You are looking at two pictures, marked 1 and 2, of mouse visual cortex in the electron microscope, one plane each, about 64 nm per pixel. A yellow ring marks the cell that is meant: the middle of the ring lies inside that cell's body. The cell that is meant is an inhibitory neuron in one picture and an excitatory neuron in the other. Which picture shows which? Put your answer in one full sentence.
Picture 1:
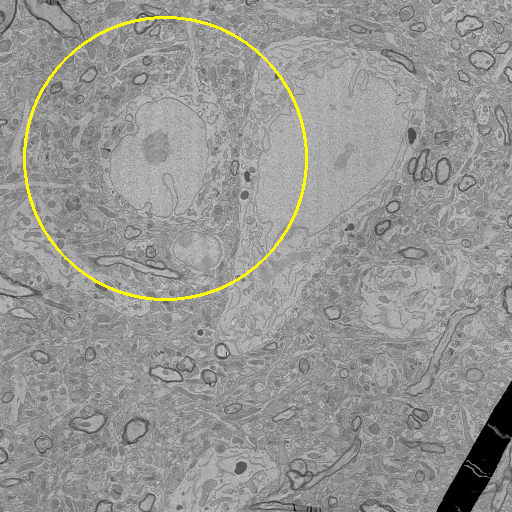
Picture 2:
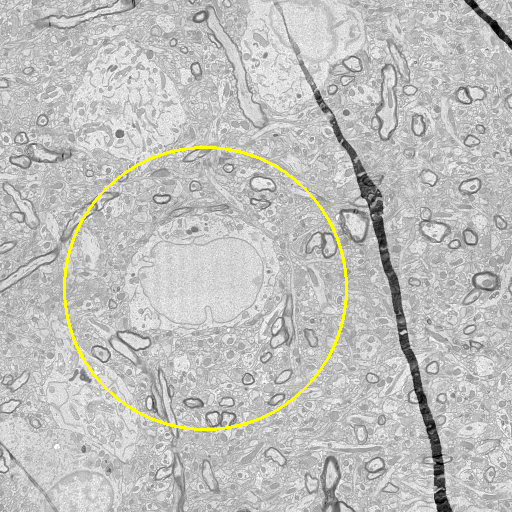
Picture 1 is of an inhibitory neuron, and picture 2 is of an excitatory neuron.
